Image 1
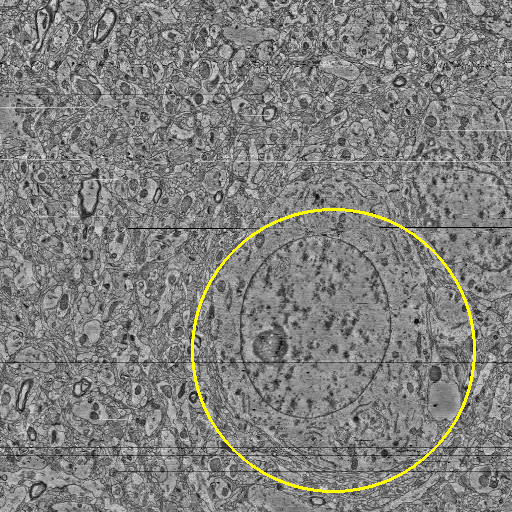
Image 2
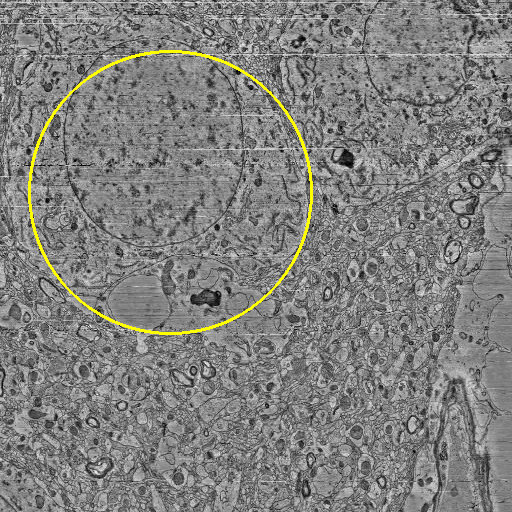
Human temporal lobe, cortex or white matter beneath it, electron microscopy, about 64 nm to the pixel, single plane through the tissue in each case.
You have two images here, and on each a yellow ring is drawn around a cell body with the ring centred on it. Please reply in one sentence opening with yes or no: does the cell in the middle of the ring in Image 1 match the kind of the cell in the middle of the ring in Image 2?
Yes, the two images show cells of one kind at the centres of their rings.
